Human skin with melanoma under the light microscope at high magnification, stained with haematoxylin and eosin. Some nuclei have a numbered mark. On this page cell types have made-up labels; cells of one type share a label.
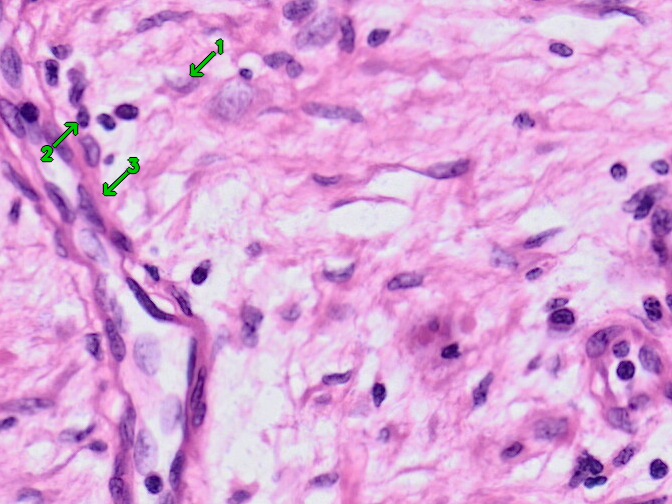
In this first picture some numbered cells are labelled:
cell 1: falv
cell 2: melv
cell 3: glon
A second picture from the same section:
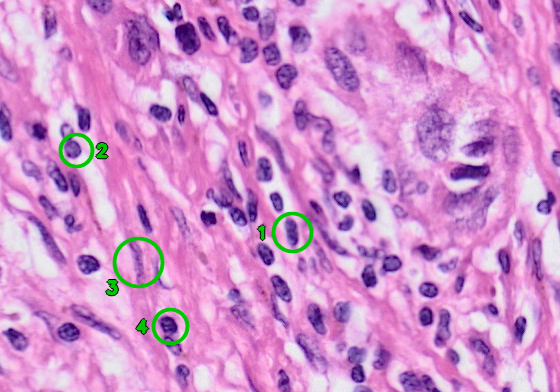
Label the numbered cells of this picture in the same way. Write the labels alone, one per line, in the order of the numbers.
melv
melv
falv
melv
